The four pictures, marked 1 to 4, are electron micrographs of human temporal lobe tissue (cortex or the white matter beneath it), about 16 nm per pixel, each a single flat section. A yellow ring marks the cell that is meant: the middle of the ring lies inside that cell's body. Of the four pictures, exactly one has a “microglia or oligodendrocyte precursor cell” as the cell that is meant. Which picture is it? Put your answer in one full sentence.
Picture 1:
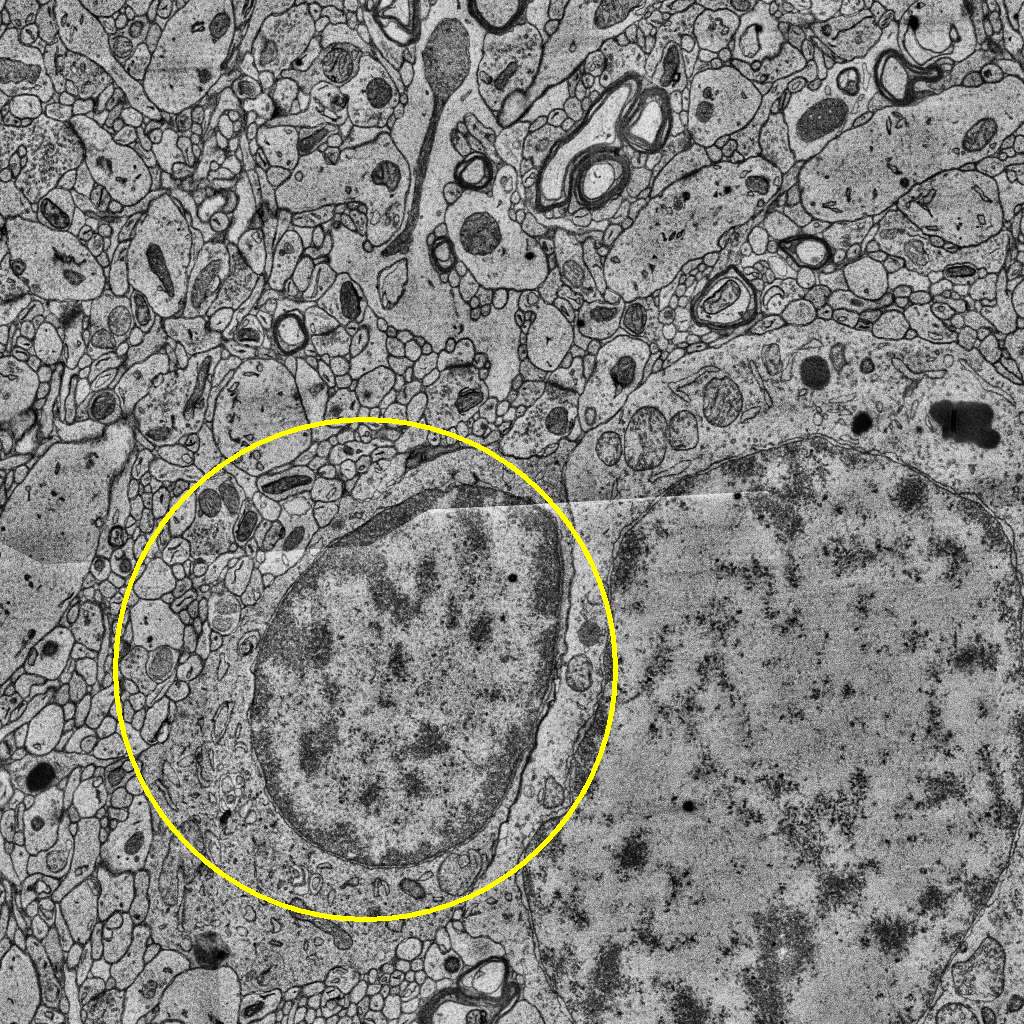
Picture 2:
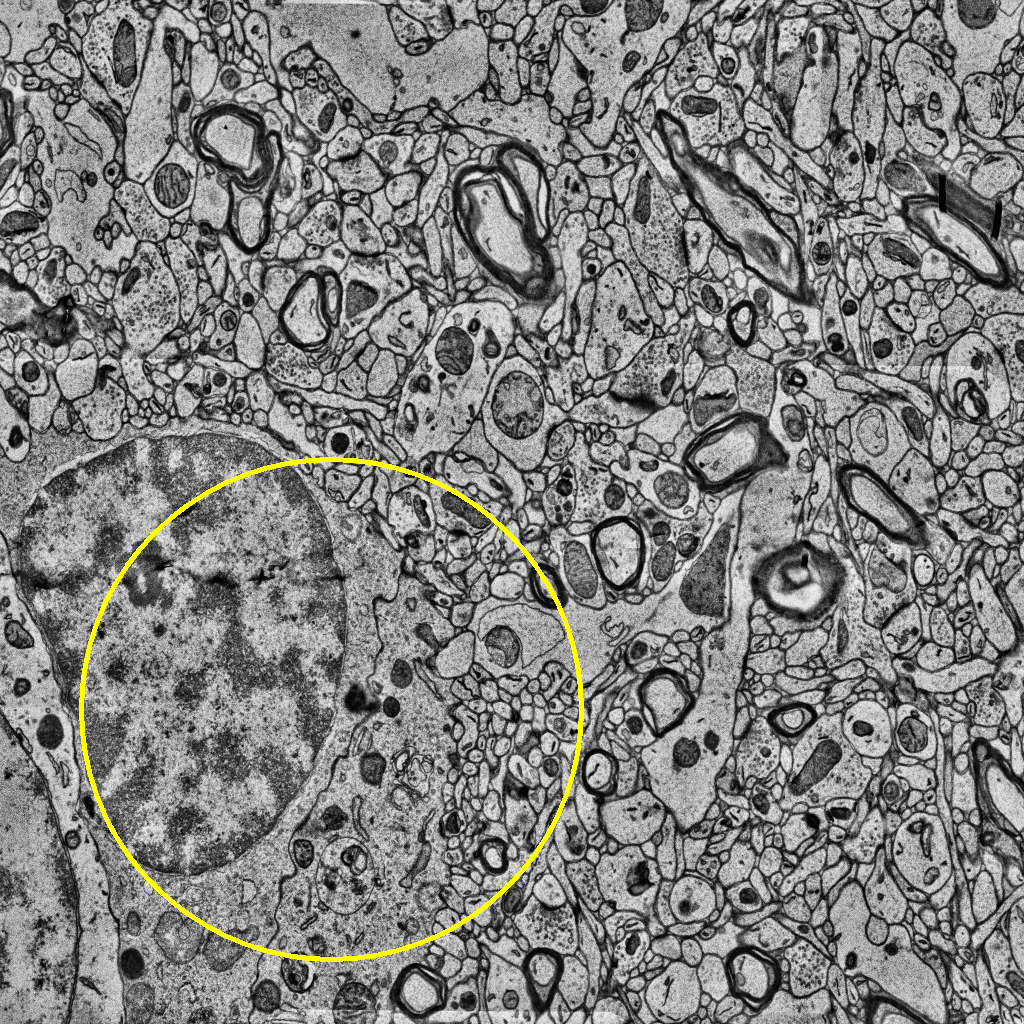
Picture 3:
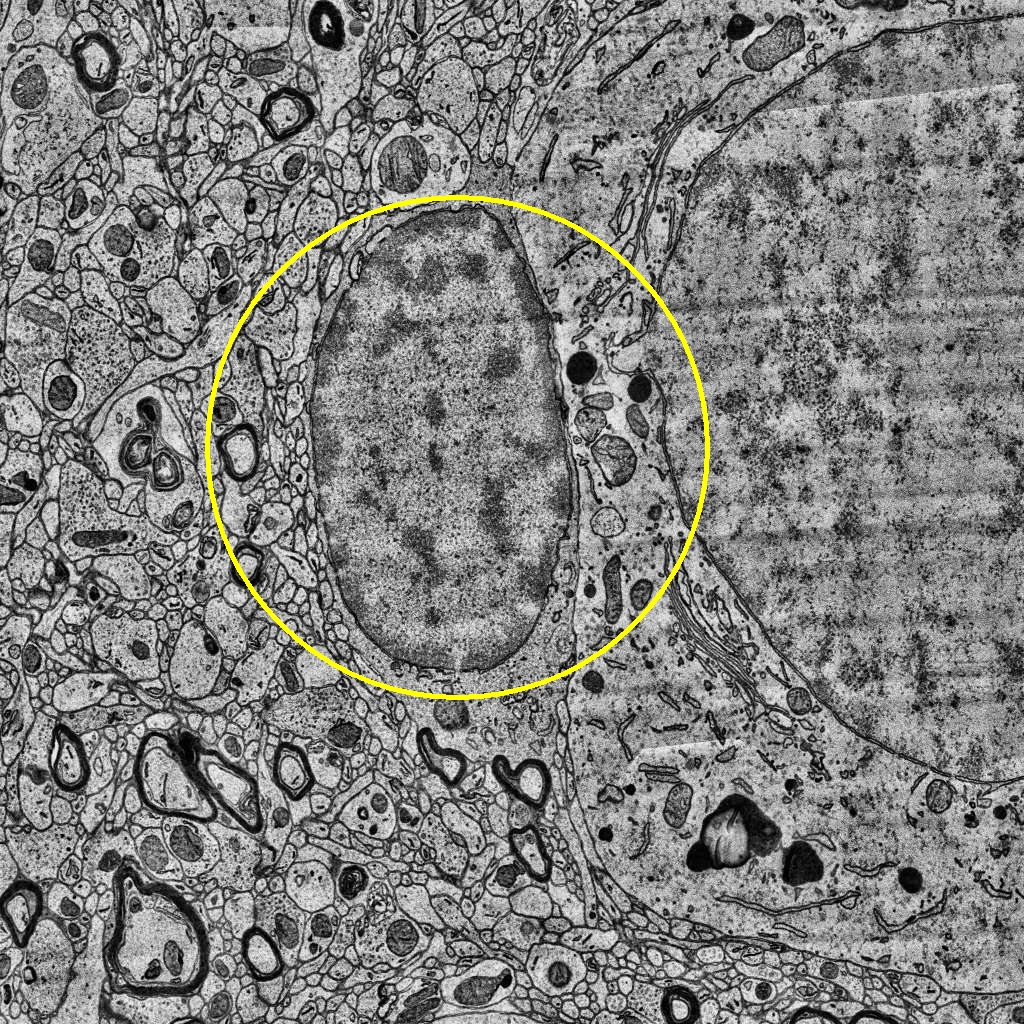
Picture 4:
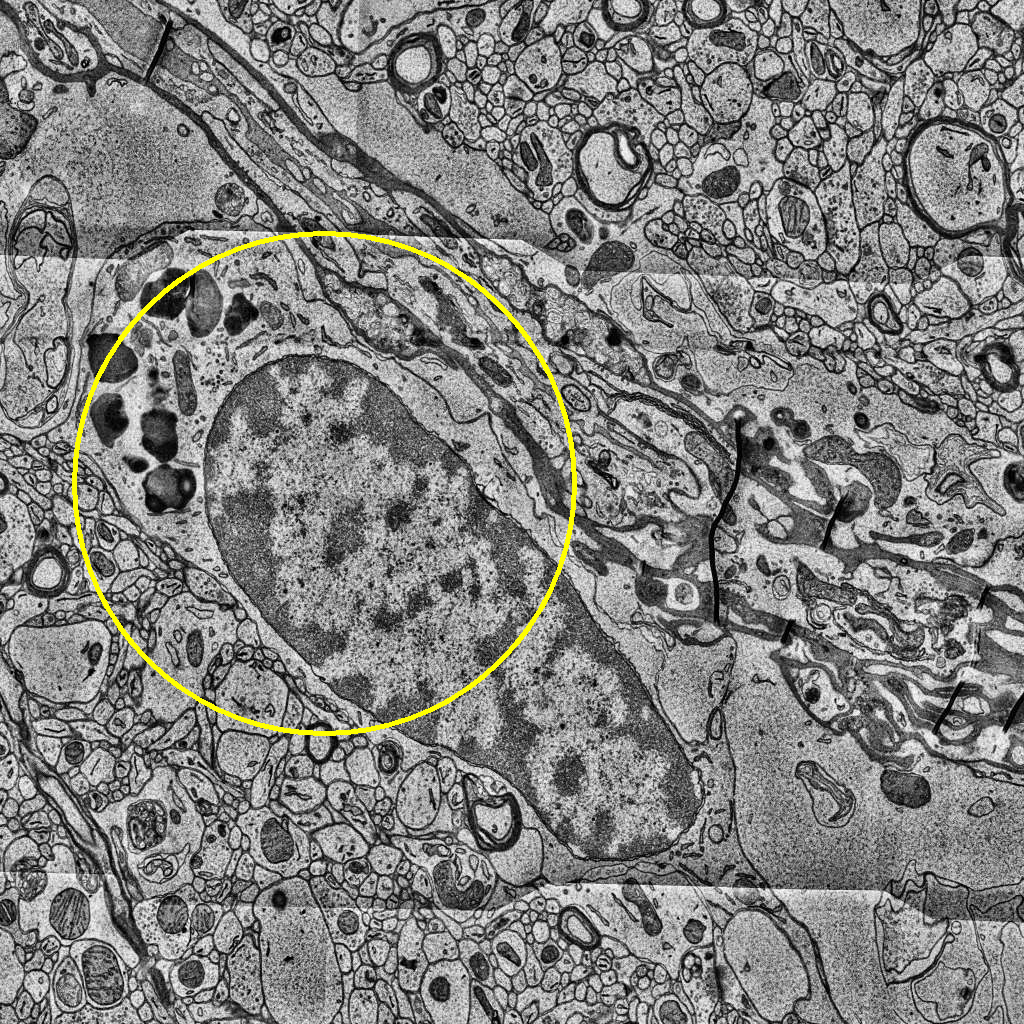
The picture with the “microglia or oligodendrocyte precursor cell” is 4.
